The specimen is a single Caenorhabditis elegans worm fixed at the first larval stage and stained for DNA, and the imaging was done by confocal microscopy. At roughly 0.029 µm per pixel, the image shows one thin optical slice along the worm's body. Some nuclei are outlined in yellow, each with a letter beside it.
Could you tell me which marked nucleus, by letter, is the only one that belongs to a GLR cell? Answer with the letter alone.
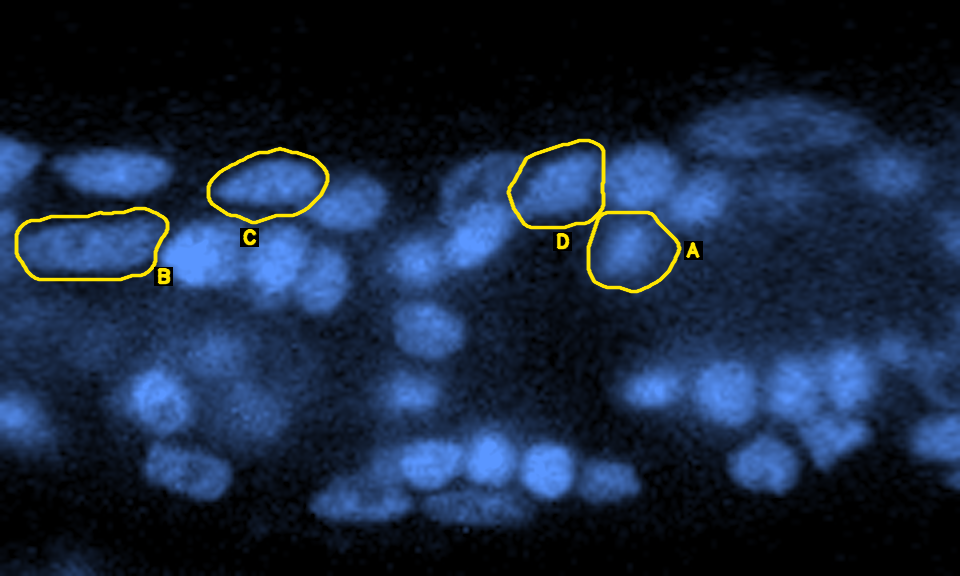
A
